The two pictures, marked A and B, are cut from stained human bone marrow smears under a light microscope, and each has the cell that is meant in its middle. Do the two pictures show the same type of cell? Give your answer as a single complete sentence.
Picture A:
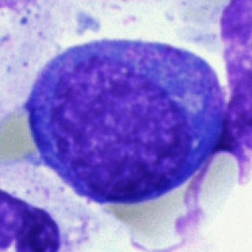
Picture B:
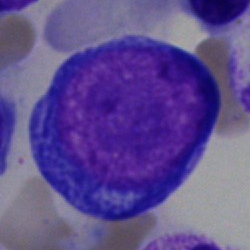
No, picture A shows a promyelocyte and picture B shows a proerythroblast.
